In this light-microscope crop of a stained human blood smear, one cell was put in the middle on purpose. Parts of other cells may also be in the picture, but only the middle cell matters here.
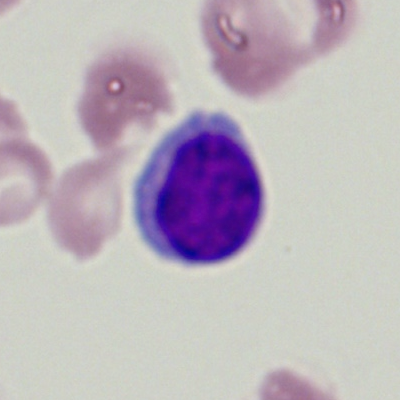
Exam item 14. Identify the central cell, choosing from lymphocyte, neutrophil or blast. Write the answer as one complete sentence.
The cell at the heart of this crop is a lymphocyte.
